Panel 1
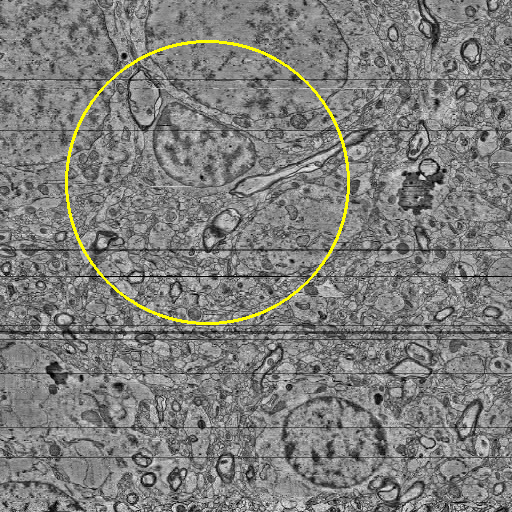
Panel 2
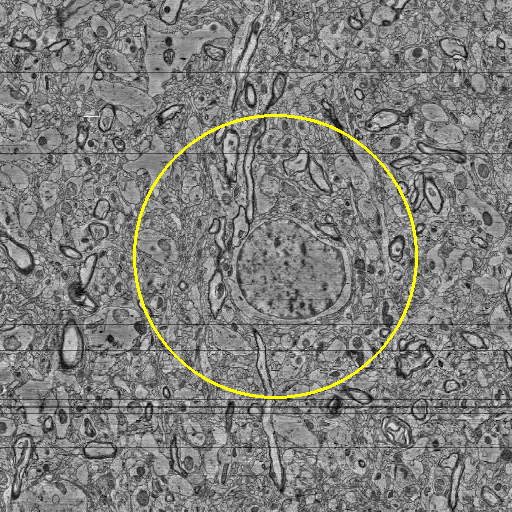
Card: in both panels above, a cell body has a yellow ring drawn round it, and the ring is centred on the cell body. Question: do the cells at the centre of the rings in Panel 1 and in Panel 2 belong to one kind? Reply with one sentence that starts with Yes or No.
No, the cells centred in the rings of Panel 1 and Panel 2 are two kinds of cell.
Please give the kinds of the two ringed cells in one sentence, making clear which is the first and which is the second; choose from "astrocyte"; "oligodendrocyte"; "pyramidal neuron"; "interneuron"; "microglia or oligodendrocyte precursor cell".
In the second picture the ringed cell is a microglial cell or oligodendrocyte precursor cell; in the first it is an oligodendrocyte.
